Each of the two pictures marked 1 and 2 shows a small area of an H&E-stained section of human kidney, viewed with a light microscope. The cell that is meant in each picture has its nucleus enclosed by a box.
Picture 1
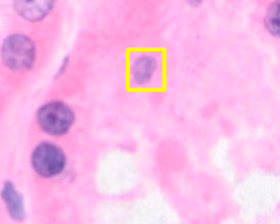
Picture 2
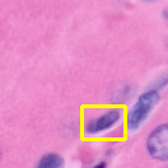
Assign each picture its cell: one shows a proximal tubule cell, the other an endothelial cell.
1: proximal tubule cell
2: endothelial cell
